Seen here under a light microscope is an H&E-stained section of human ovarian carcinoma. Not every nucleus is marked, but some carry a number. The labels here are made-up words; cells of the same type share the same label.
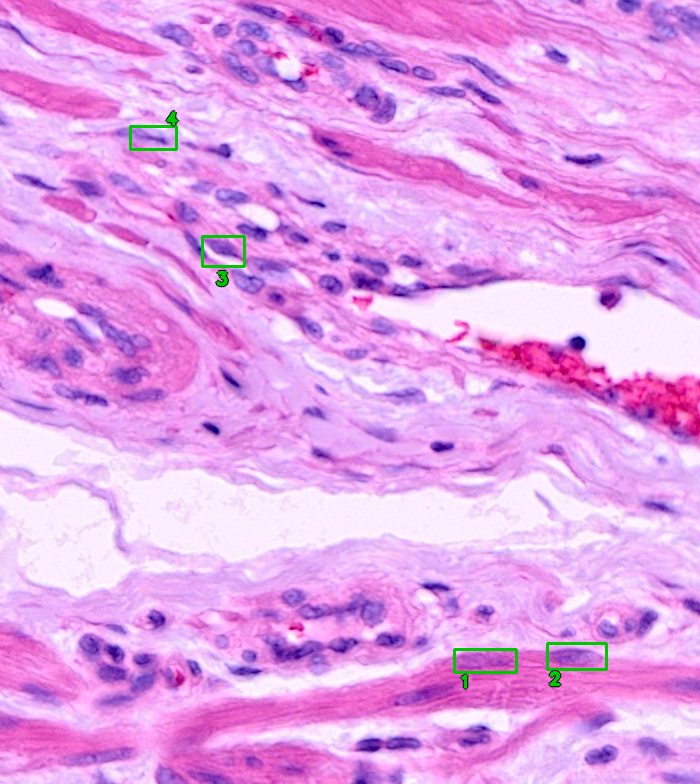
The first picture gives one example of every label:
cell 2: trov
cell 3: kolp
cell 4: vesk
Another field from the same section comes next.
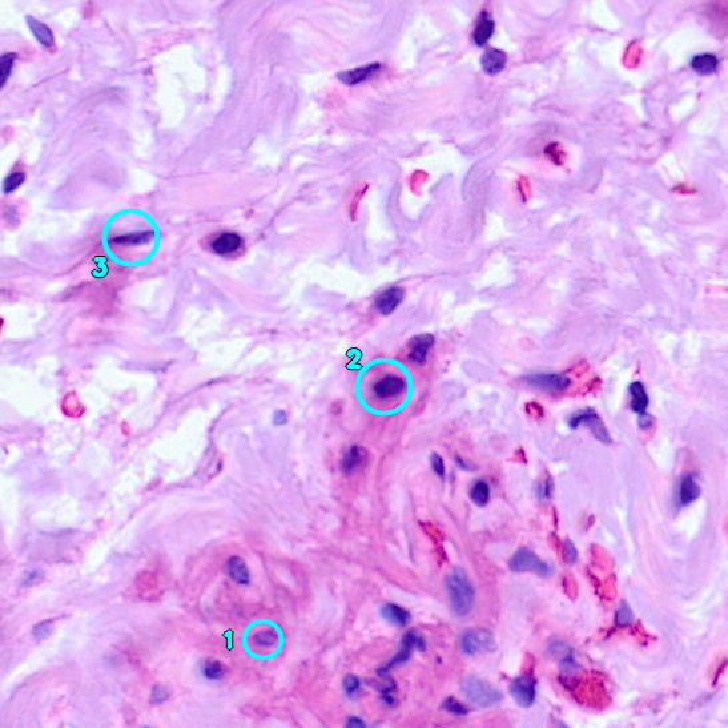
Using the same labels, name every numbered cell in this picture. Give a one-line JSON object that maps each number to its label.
{"1": "trov", "2": "trov", "3": "vesk"}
